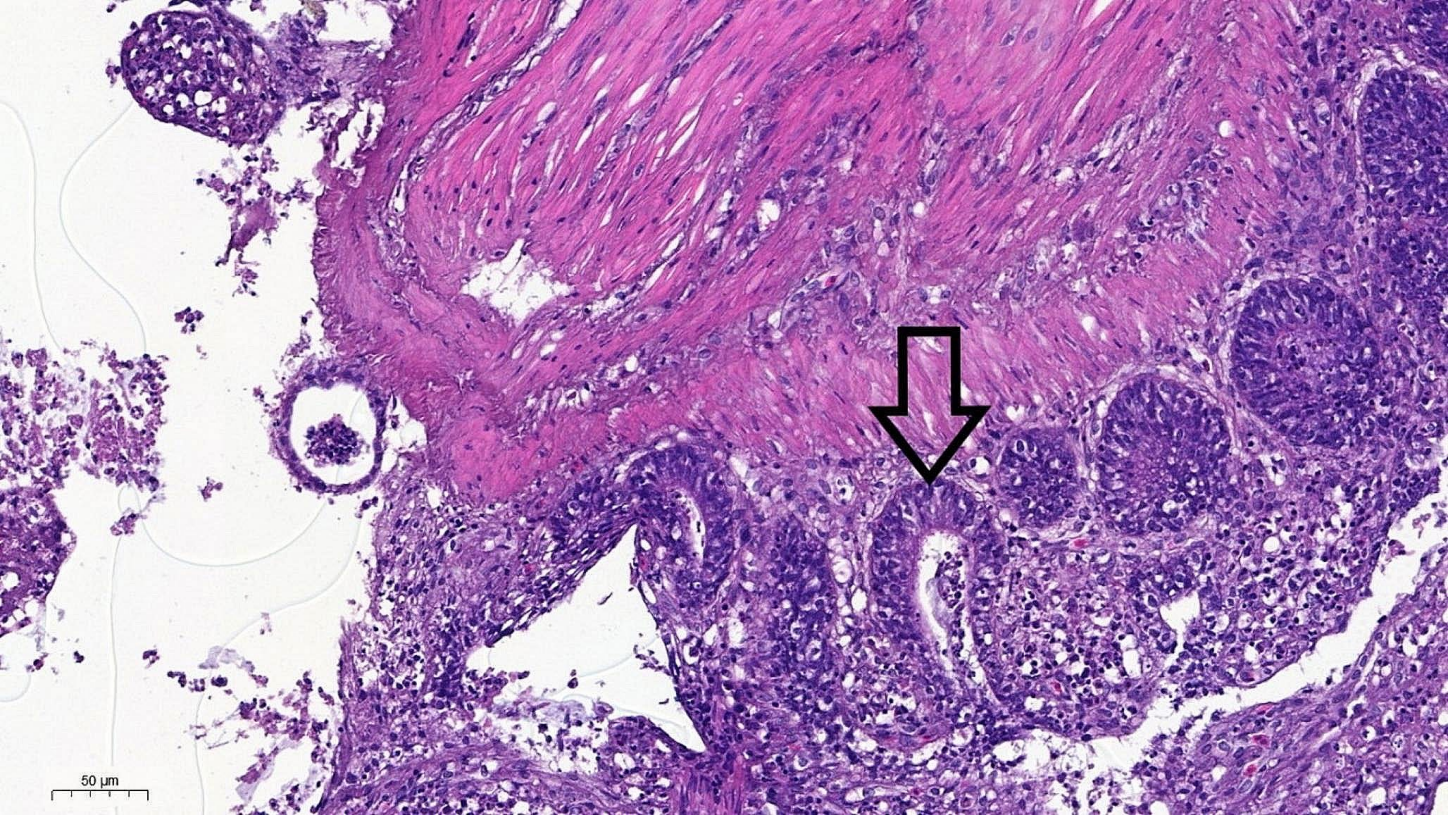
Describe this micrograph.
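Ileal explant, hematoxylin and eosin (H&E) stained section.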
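The muscle at the top runs in bundles of long spindle-shaped cells with slender, elongated nuclei. Below it, crypts are cut both lengthwise, as tubes with a narrow central lumen, and across, as round rosettes. Their lining cells are tall and columnar, with crowded, dark purple, elongated nuclei. Between the crypts the lamina propria is densely packed with small round cells, many with pale, vacuolated cytoplasm. Detached cells and debris float in the empty space at the left.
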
